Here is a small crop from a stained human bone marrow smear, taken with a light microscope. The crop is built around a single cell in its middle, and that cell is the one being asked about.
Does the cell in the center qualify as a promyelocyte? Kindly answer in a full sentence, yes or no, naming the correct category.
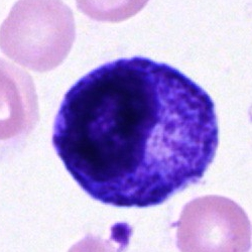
Yes, that middle cell in the crop is a promyelocyte.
